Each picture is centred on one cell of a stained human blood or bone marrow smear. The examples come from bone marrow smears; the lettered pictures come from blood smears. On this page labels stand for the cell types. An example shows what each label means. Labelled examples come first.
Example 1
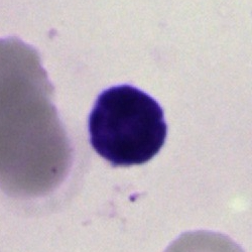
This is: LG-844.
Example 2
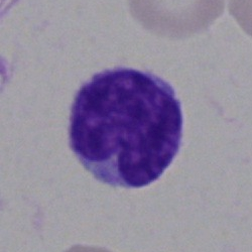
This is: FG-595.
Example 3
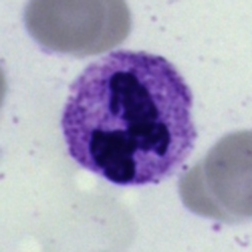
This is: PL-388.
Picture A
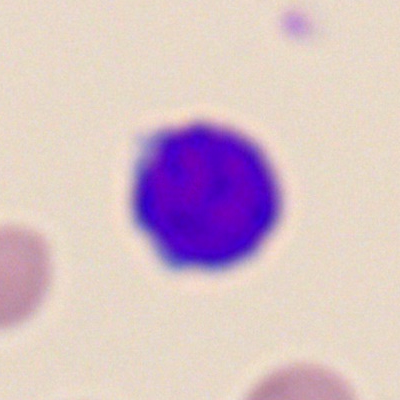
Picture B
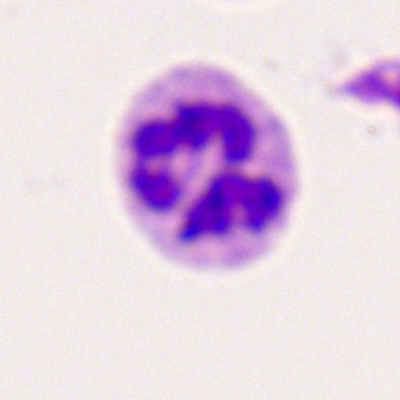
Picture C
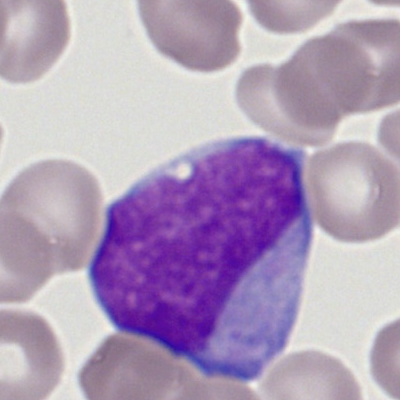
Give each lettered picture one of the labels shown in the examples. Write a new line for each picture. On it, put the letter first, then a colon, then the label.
A: LG-844.
B: PL-388.
C: FG-595.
